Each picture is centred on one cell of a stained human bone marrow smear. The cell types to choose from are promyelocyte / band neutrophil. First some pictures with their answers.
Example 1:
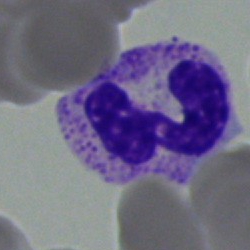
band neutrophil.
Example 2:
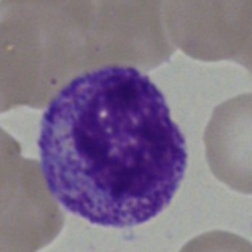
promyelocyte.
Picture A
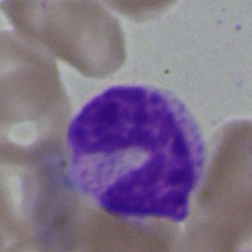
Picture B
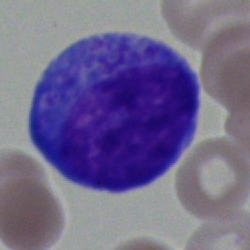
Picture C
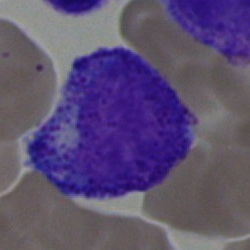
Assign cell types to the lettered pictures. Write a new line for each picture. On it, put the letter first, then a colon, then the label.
A: band neutrophil.
B: promyelocyte.
C: promyelocyte.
